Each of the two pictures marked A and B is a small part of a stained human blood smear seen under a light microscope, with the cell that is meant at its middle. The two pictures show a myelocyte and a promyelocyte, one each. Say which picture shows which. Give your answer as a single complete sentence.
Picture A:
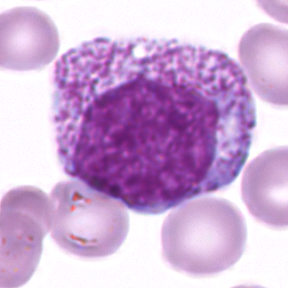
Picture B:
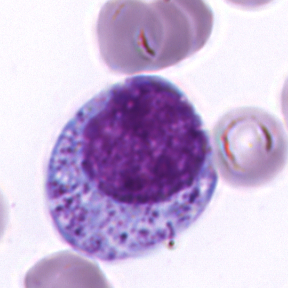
Picture A is of a promyelocyte, and picture B is of a myelocyte.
